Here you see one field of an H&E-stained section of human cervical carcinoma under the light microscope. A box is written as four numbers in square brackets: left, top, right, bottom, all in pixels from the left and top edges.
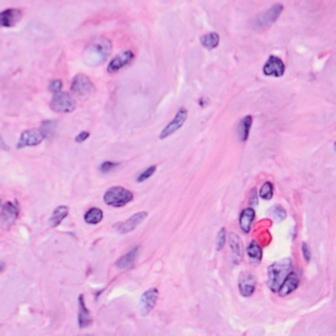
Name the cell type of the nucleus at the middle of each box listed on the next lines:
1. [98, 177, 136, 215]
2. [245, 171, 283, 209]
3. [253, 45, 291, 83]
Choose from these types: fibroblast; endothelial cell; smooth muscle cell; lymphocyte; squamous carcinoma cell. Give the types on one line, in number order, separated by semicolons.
fibroblast; endothelial cell; lymphocyte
